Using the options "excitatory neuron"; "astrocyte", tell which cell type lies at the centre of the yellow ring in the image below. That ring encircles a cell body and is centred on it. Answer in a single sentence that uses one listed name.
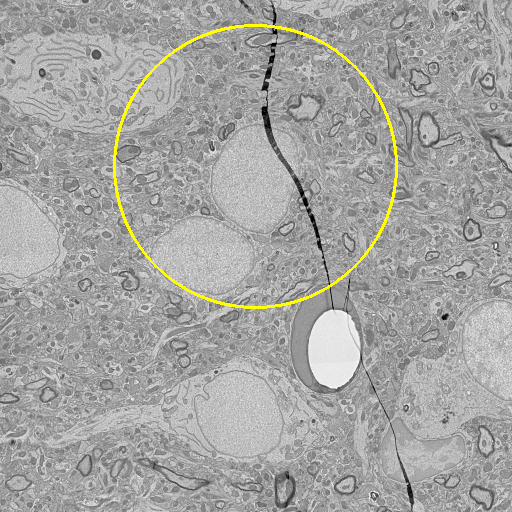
At the centre of the yellow ring lies the body of an astrocyte.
